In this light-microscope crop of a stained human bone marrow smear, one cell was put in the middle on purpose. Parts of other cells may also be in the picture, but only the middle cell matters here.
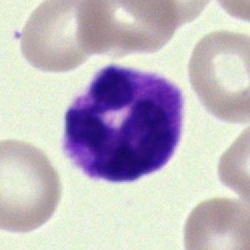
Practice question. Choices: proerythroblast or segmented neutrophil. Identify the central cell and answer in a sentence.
At the center of the crop sits a segmented neutrophil.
